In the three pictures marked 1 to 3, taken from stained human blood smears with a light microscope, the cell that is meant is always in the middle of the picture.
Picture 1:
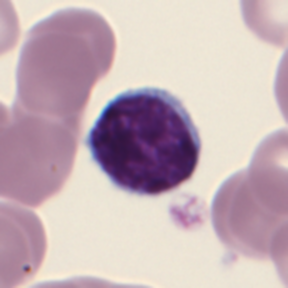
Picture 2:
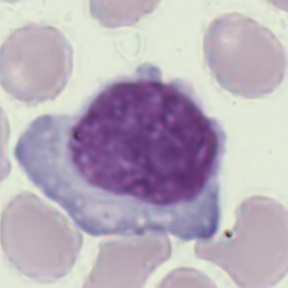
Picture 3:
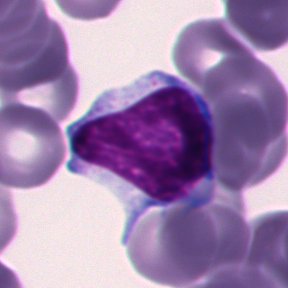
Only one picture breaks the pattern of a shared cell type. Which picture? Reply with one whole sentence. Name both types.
Picture 2 differs, because its cell is a plasma cell and the rest are typical lymphocytes.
